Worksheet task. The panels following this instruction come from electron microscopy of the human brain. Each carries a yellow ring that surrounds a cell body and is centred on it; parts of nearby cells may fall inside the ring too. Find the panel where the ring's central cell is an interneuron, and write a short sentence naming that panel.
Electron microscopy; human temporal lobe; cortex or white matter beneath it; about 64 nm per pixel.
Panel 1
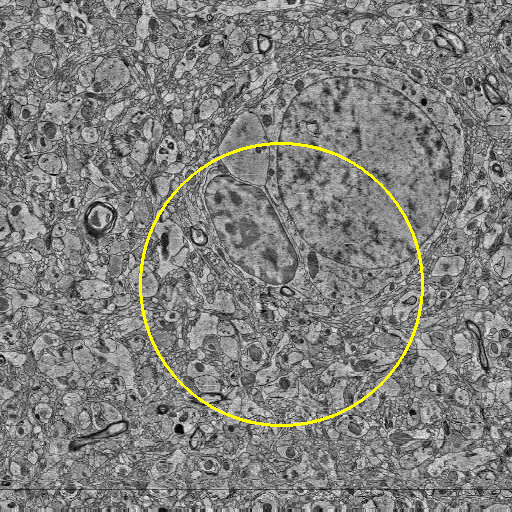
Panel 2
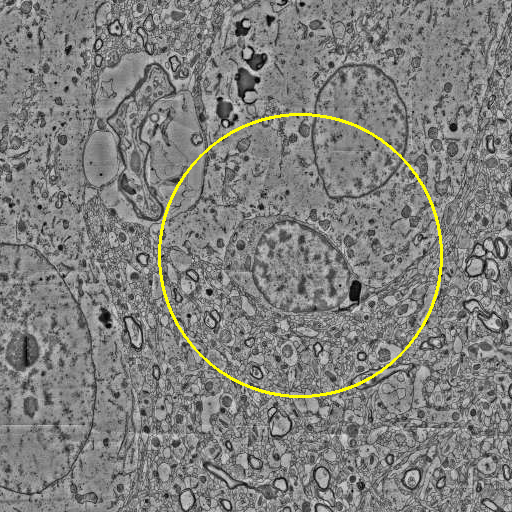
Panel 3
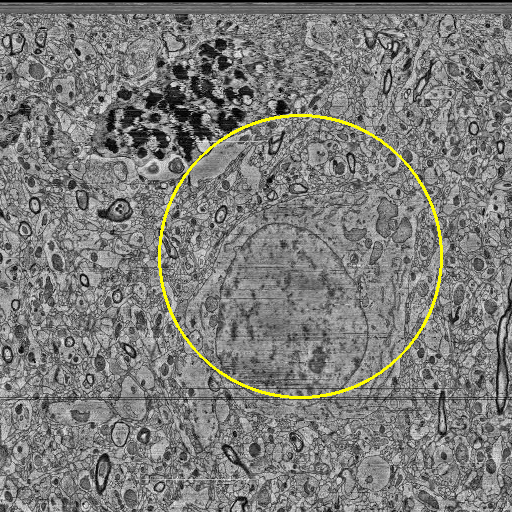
The cell sought is in Panel 3.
